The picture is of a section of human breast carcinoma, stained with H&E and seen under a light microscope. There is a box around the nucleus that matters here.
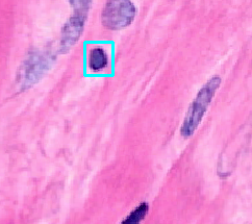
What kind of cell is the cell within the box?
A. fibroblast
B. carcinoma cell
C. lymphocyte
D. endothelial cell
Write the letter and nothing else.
C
